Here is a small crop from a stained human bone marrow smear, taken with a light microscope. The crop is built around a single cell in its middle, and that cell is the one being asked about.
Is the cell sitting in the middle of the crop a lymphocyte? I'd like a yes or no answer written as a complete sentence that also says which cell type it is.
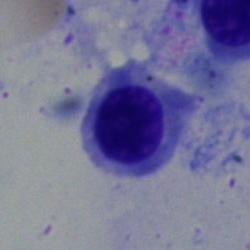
No, it is an erythroblast rather than a lymphocyte that the middle of the crop contains.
